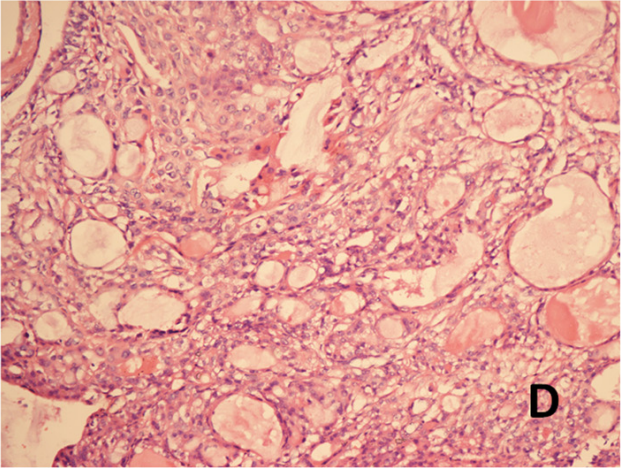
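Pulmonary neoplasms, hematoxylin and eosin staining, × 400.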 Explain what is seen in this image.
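Near the top centre sits a nest of polygonal, squamoid cells with plentiful pink cytoplasm and round nuclei. Around it, tumour cells with pale, clear or bubbly cytoplasm are scattered among numerous round spaces of varying size filled with pale, faintly pink mucoid material, some containing denser pink secretion.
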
